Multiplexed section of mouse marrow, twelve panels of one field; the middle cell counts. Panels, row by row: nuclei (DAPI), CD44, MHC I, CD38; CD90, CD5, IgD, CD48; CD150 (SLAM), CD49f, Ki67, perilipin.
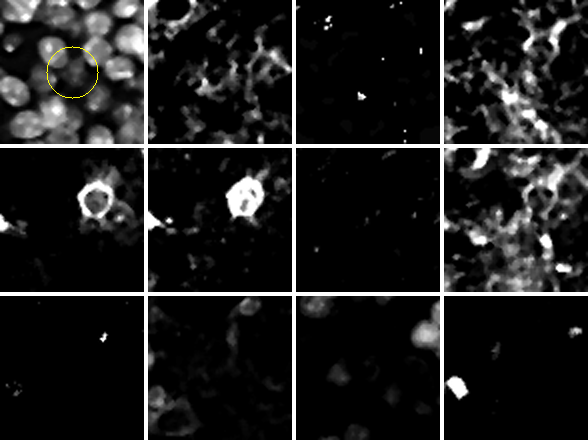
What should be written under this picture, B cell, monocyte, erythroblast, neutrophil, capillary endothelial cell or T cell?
capillary endothelial cell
